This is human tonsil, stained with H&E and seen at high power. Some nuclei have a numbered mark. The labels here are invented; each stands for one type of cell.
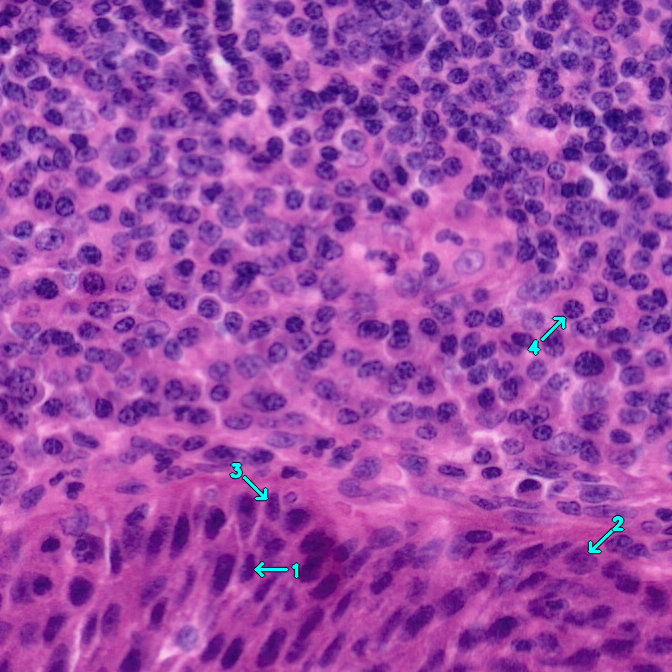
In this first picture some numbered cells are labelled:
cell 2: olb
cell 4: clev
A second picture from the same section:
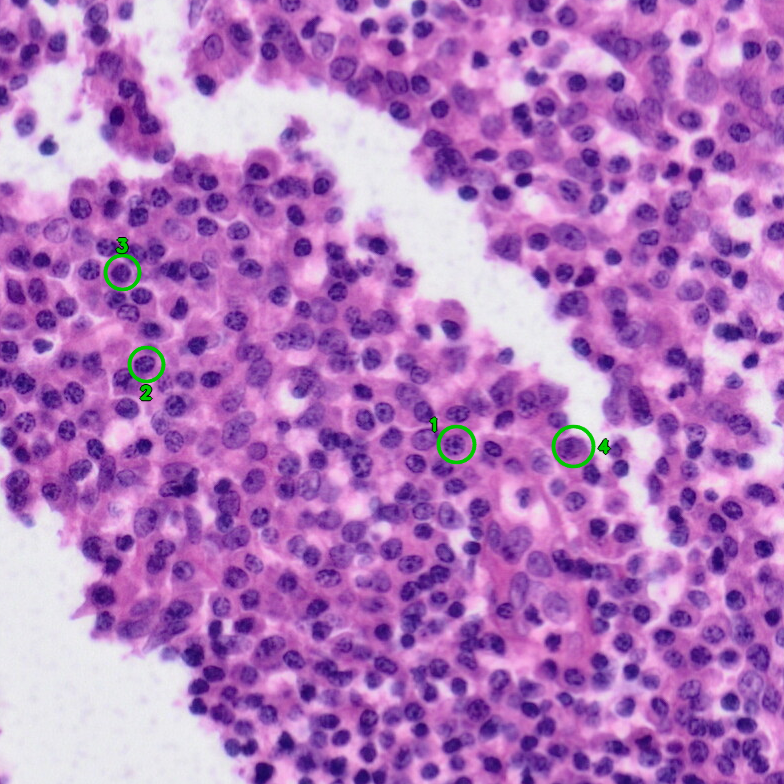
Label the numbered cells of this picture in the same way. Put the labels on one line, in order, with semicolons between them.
clev; clev; clev; olb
